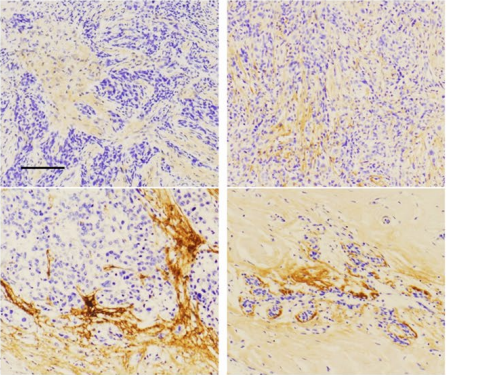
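In the upper fields the cells lie in irregular nests and sheets; they have crowded, oval to elongated nuclei, and the brown stain is faint and diffuse in the intervening stroma. In the lower fields the brown stain is much denser. It forms thick bands and streaks in the stromal tissue that surround and separate the clusters of tumour cells. The stain is largely outside the tumour cells themselves. Overall the deposition of the stained matrix in the stroma varies clearly from field to field.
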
